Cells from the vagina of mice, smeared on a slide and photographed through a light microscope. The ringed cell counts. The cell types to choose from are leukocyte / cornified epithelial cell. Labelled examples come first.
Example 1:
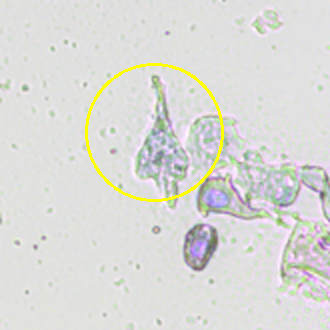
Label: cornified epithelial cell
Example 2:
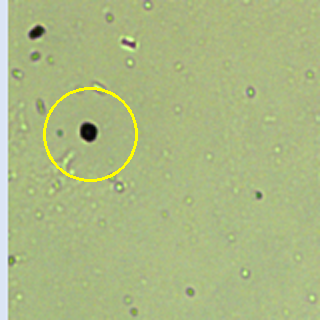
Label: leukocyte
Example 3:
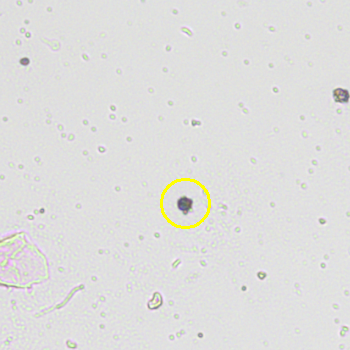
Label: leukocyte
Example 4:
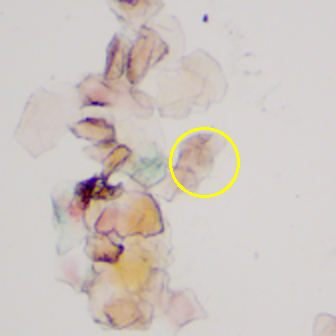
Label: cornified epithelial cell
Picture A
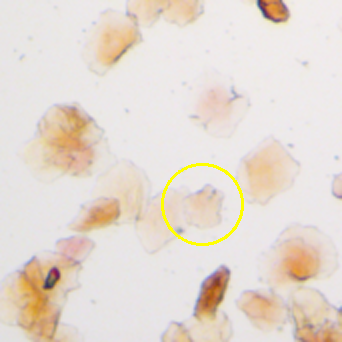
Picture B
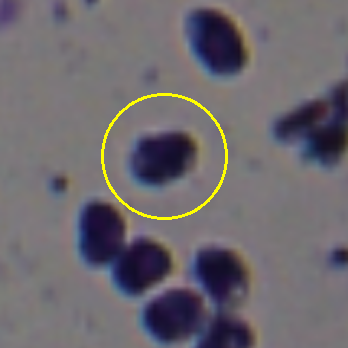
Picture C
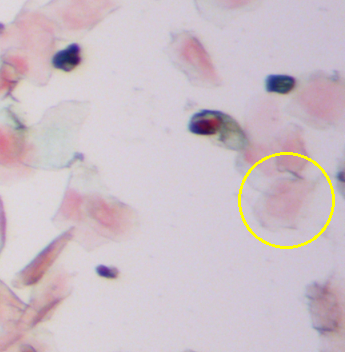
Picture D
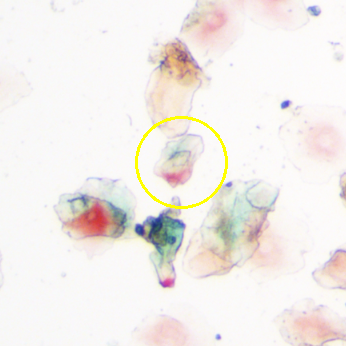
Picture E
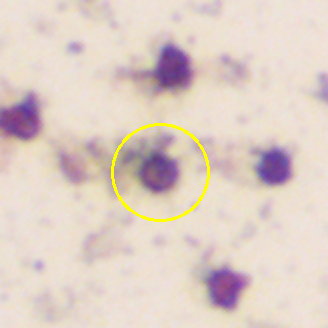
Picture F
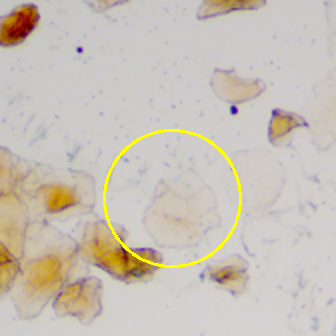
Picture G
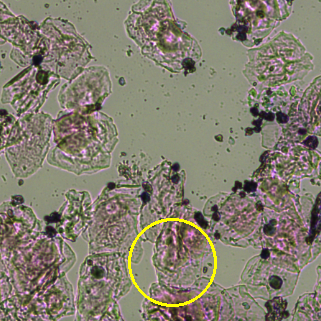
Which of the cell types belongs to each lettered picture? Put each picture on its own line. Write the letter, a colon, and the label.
A: cornified epithelial cell
B: leukocyte
C: cornified epithelial cell
D: cornified epithelial cell
E: leukocyte
F: cornified epithelial cell
G: cornified epithelial cell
